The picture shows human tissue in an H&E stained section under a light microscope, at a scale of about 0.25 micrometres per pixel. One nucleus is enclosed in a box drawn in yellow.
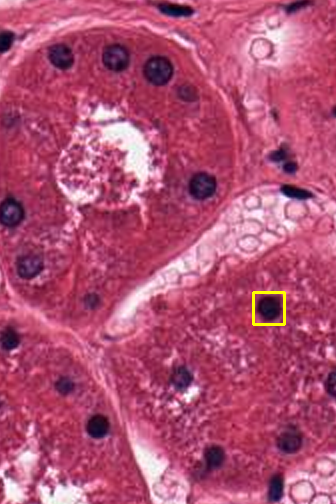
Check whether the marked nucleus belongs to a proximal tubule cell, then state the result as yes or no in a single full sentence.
Yes, it is a proximal tubule cell that holds the marked nucleus.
